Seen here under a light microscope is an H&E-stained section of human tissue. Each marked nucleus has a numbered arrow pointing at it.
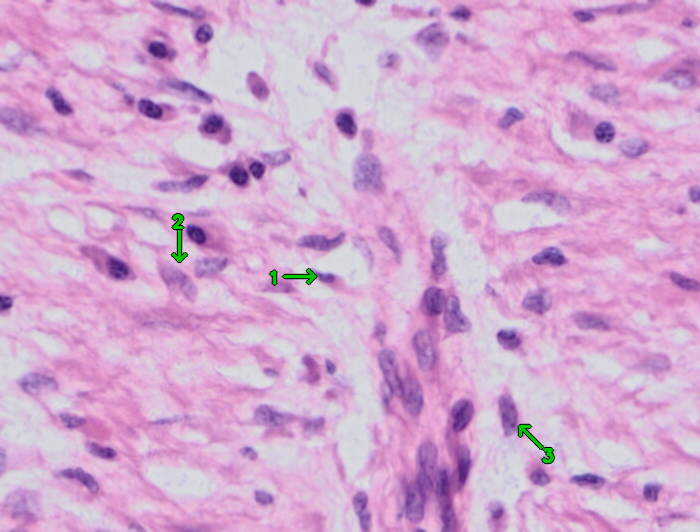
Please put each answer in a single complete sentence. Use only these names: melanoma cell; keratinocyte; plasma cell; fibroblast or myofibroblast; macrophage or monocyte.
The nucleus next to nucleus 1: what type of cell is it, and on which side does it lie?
It is a macrophage or monocyte, whose nucleus lies above nucleus 1.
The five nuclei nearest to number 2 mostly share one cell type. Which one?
The majority of the five nuclei closest to number 2 belong to fibroblasts or myofibroblasts.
